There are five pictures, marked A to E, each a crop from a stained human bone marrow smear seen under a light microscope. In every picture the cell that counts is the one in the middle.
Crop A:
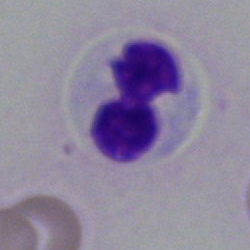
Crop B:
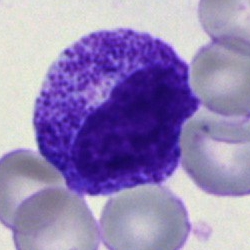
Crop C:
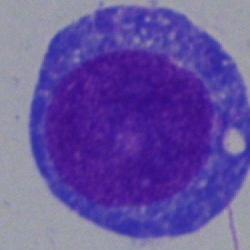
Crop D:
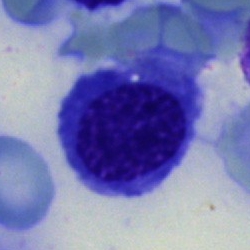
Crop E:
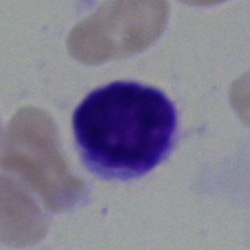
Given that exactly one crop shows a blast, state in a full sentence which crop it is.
The crop showing a blast in this series is crop C.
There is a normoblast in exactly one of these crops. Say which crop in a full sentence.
Among the crops provided, a normoblast occupies the center of crop D.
